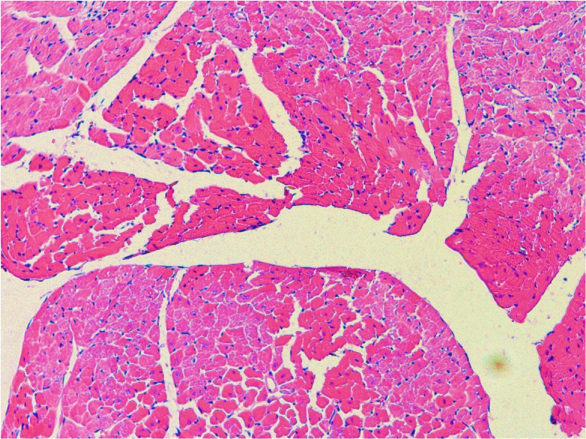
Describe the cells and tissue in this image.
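Heart muscle with cardiomyocytes cut in cross and oblique section, stained pink to red, with dark purple nuclei. Many small dark nuclei lie in the spaces between fibres. Bundles are separated by wide clear clefts, and within bundles the fibres are loosened by irregular gaps. Staining is uneven, with some fibres deep red and others pale and washed out.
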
